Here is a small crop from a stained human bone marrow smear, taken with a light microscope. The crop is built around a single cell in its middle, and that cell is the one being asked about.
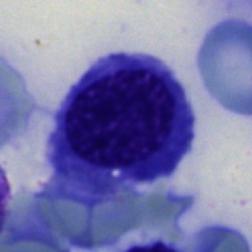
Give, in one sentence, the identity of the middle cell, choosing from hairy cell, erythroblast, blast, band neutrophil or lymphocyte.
The middle of this crop holds an erythroblast.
